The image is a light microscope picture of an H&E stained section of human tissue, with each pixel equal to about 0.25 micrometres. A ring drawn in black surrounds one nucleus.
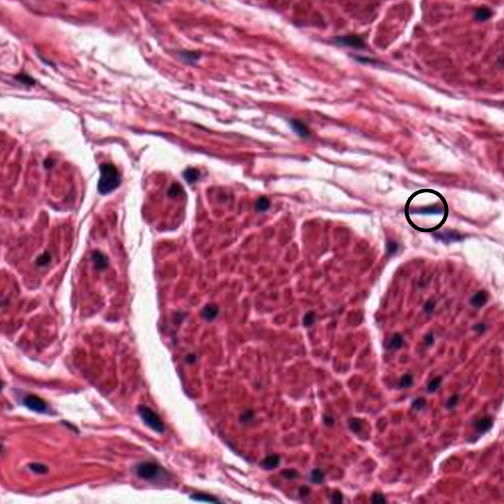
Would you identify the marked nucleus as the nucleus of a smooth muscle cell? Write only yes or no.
no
